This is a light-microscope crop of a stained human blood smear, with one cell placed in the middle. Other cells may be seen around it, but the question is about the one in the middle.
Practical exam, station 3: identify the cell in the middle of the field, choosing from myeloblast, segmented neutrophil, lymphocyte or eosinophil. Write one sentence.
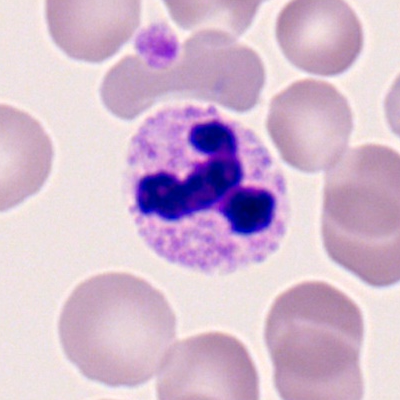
The central cell in this smear crop is a segmented neutrophil.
